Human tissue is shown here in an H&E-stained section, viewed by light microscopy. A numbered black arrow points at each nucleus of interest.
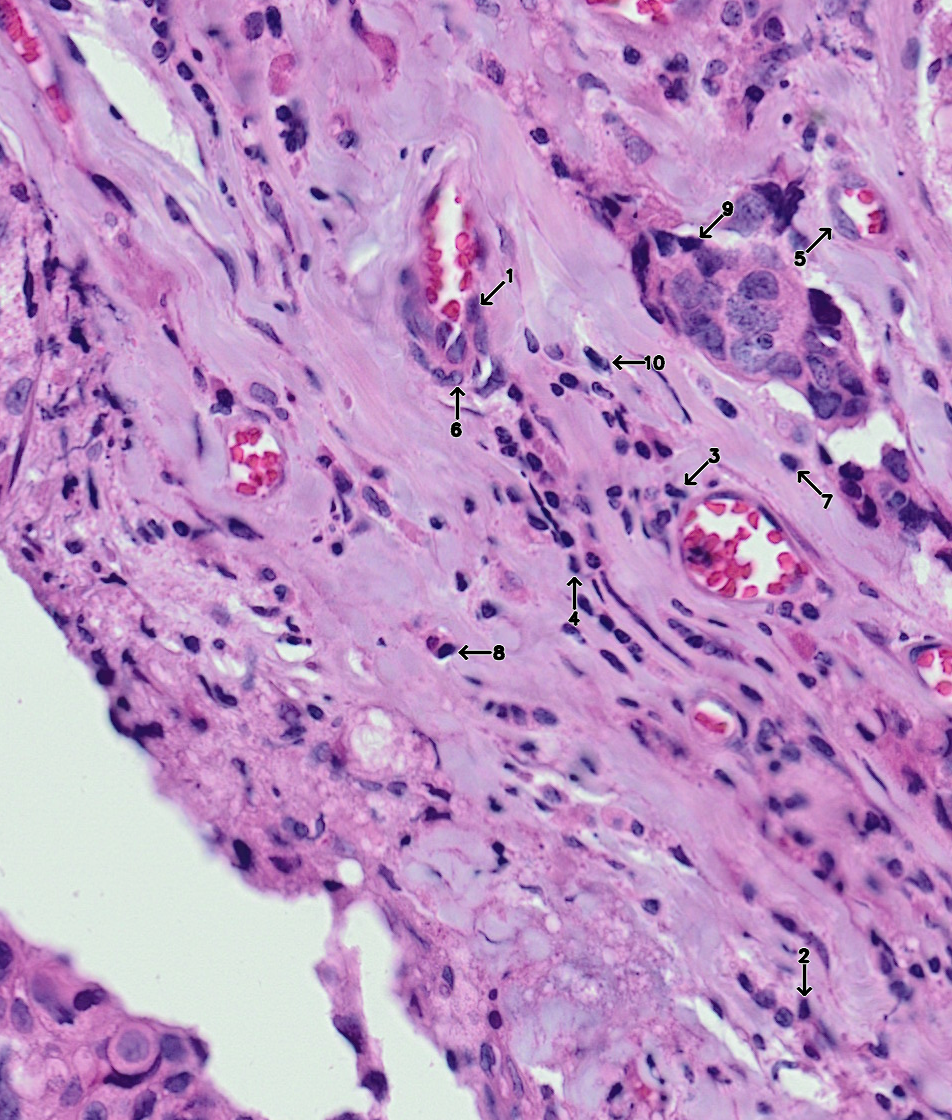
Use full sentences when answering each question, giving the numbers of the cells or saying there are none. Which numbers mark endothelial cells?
Cells 1, 5 and 6 are classified as endothelial cells.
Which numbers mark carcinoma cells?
Of the numbered nuclei, only the one labelled 9 belongs to a carcinoma cell.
